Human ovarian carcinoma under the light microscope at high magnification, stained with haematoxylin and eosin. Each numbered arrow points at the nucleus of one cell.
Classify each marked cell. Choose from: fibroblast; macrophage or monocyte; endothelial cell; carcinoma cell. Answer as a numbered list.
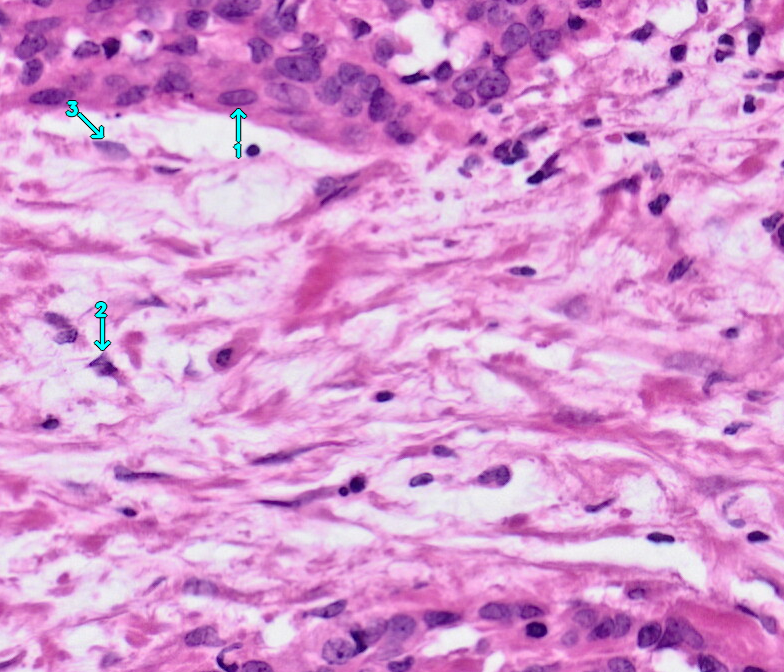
1. carcinoma cell
2. fibroblast
3. fibroblast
